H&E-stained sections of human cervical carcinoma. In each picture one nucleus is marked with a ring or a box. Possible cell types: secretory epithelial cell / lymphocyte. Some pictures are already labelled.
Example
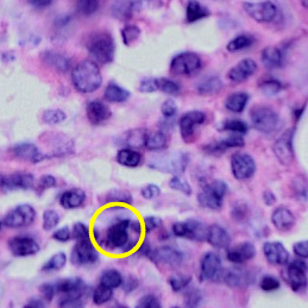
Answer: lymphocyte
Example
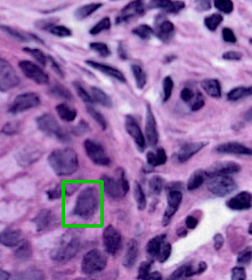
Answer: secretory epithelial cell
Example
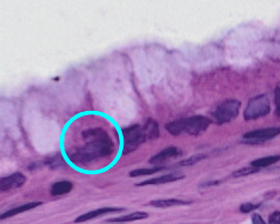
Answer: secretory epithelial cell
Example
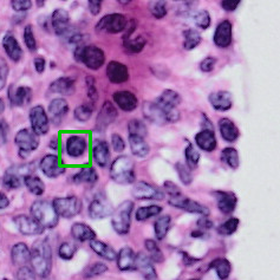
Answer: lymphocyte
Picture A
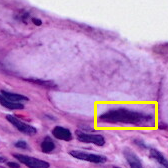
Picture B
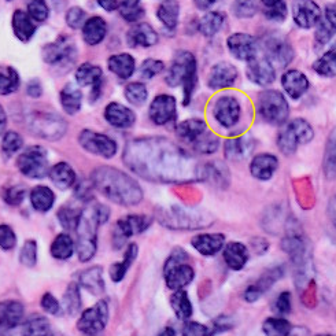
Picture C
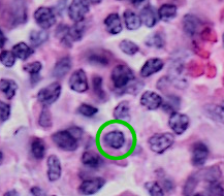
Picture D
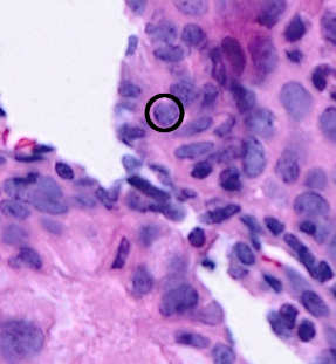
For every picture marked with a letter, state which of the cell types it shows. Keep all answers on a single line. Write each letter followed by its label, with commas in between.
A secretory epithelial cell, B lymphocyte, C lymphocyte, D secretory epithelial cell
